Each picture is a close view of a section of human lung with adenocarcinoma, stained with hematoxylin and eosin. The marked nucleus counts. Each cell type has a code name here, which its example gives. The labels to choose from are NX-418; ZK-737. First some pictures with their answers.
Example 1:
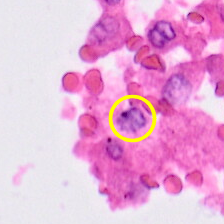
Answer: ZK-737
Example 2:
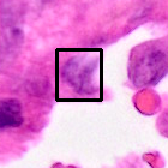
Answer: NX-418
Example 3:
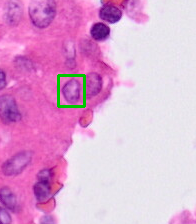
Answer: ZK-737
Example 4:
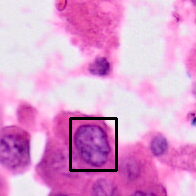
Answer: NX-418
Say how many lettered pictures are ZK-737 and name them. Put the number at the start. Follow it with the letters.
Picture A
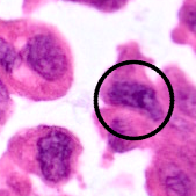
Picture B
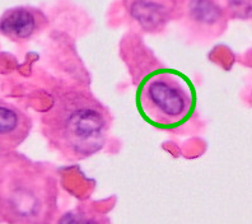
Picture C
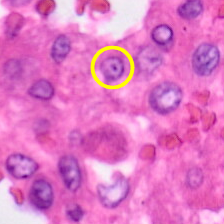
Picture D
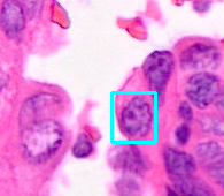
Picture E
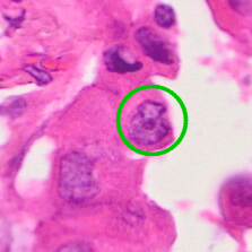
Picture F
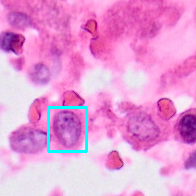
3, namely B, C, F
